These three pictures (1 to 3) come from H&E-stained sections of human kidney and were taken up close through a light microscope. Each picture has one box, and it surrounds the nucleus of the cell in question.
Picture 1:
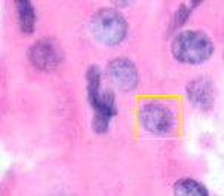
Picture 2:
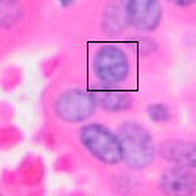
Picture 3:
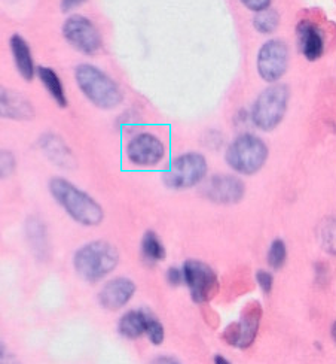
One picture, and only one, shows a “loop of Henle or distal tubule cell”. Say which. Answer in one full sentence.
The picture with the “loop of Henle or distal tubule cell” is 1.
